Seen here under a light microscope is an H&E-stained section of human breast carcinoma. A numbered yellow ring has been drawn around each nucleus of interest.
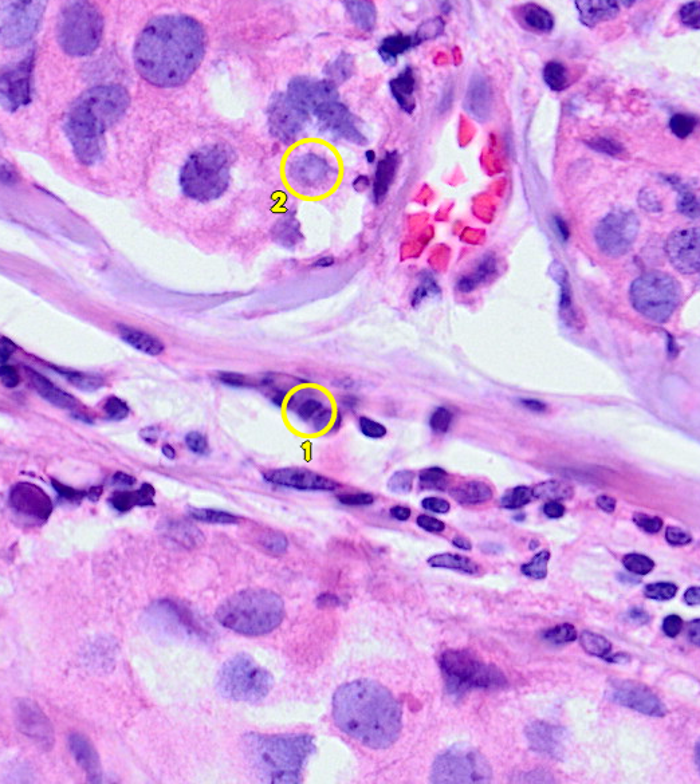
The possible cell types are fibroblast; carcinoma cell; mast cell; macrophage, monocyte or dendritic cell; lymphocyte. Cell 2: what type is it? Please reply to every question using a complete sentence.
Numbered cell 2 is a carcinoma cell in this tissue section.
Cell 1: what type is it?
Among the marked nuclei, number 1 belongs to a lymphocyte.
